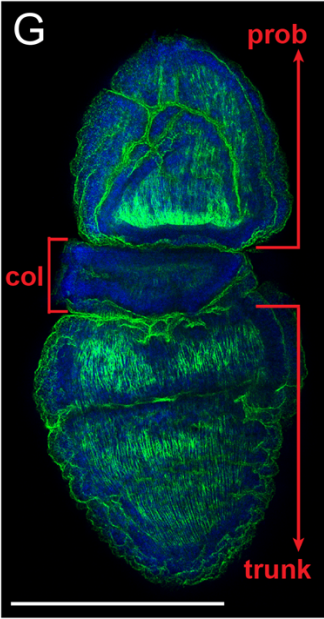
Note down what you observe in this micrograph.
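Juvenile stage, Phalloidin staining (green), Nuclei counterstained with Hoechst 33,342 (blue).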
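This is a whole small worm-like animal in fluorescence, divided into a rounded front part, a short narrow middle ring and a long, oval hind part. The hind part is packed with dense, fine green fibres running in parallel, arranged in two broad blocks one behind the other. The front part shows a network of green bands near its surface and a triangular field of parallel green fibres inside. The narrow middle ring is mostly blue with little green, and green lines mark the borders between the three parts.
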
